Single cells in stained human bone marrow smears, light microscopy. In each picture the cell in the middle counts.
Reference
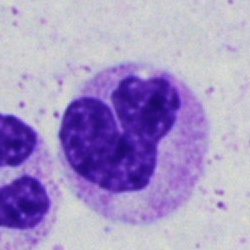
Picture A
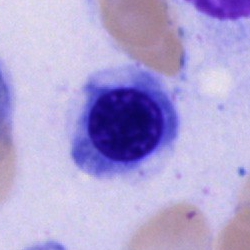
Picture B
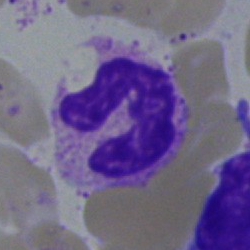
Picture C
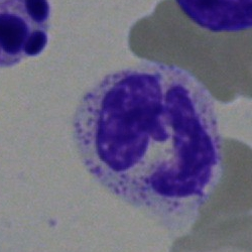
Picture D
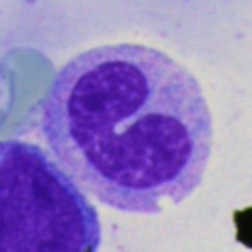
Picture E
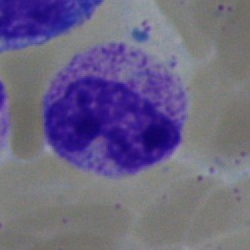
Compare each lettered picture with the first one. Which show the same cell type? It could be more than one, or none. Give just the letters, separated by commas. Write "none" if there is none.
D, E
